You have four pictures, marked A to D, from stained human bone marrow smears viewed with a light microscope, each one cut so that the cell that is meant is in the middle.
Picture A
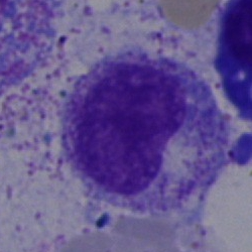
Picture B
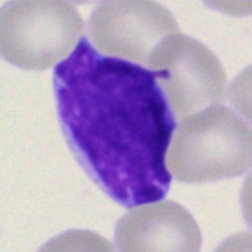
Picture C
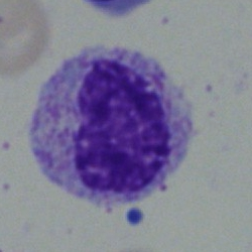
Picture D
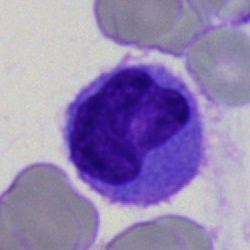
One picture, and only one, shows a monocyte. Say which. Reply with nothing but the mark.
D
